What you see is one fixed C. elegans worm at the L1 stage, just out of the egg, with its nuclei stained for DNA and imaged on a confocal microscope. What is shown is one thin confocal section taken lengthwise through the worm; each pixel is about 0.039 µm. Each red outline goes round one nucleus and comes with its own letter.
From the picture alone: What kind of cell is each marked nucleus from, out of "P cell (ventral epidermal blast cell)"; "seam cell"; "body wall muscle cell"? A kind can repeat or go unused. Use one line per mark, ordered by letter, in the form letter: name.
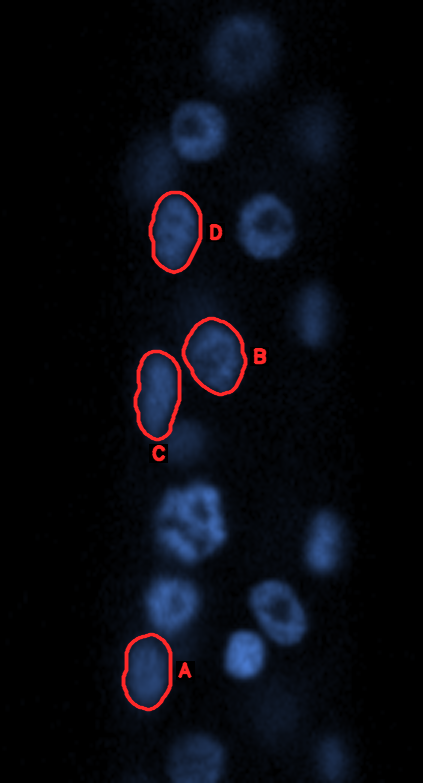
A: body wall muscle cell
B: seam cell
C: body wall muscle cell
D: P cell (ventral epidermal blast cell)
